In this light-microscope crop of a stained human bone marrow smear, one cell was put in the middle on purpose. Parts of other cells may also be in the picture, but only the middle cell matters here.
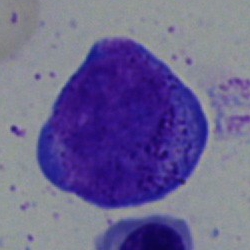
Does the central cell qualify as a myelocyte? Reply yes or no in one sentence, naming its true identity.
No, sorry, the middle cell is a promyelocyte rather than a myelocyte.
